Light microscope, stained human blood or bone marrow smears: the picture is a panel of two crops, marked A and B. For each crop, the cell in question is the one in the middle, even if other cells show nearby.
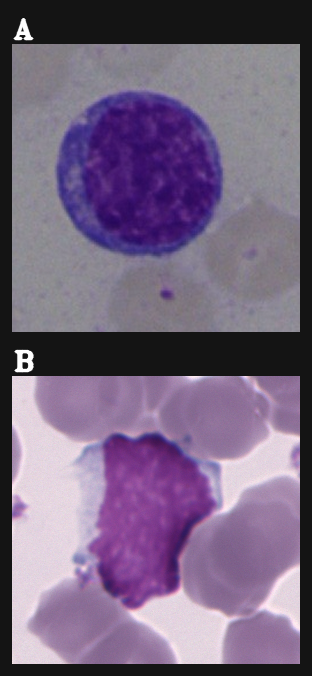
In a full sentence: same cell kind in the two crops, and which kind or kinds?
No, a blast occupies the middle of crop A, and a lymphocyte the middle of crop B.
